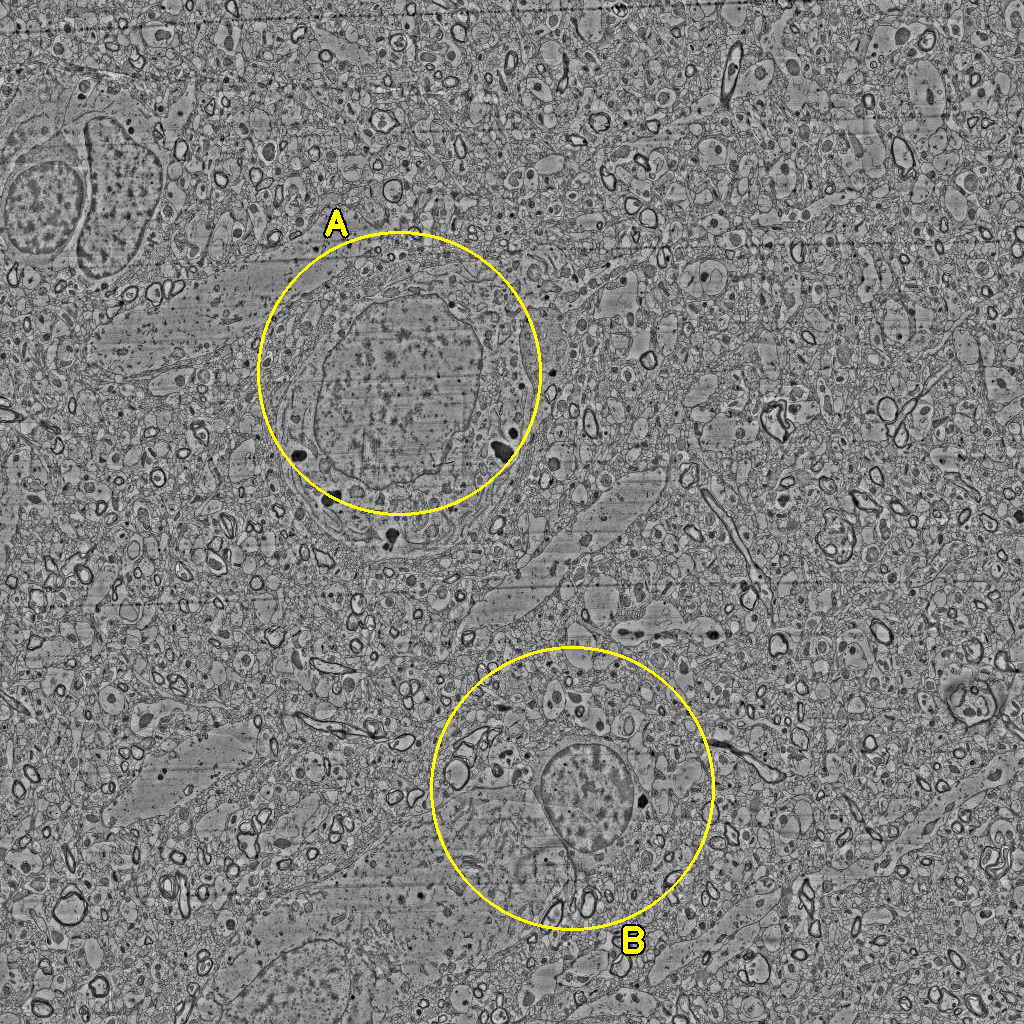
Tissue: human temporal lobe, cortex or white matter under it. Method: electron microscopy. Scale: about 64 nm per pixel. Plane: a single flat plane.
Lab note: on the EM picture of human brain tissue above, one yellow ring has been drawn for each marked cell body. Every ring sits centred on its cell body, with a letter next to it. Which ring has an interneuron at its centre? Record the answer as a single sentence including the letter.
Noted: the cell in question is at the centre of ring A.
